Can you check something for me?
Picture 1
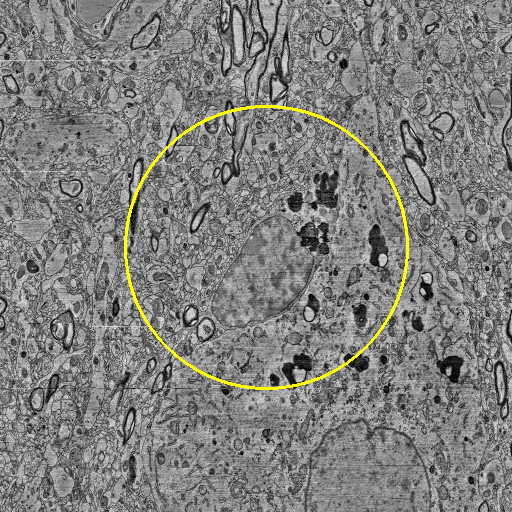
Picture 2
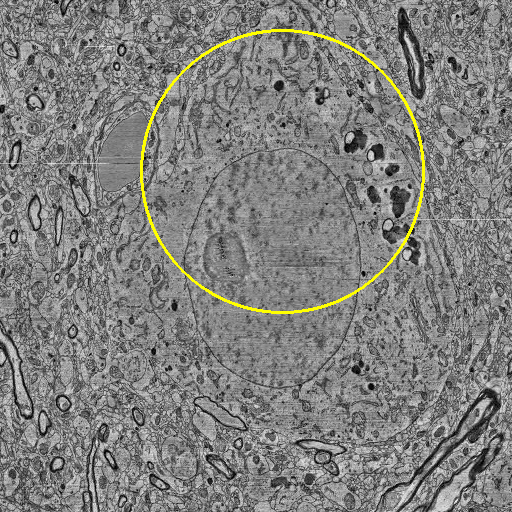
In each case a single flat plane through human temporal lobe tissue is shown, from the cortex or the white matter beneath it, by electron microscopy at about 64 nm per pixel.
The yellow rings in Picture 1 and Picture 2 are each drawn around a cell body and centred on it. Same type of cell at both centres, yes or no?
no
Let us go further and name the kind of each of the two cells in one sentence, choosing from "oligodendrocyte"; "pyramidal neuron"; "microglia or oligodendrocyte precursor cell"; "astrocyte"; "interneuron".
The ring of the first picture is on an oligodendrocyte, the ring of the second on a pyramidal neuron.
